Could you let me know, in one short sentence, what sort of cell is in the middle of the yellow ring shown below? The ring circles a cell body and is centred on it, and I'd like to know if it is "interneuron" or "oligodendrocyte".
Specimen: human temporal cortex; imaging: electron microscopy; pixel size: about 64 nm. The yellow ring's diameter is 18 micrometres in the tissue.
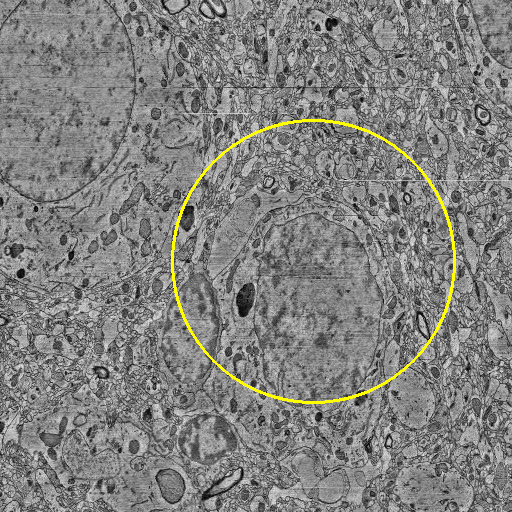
The ring circles the cell body of an interneuron.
